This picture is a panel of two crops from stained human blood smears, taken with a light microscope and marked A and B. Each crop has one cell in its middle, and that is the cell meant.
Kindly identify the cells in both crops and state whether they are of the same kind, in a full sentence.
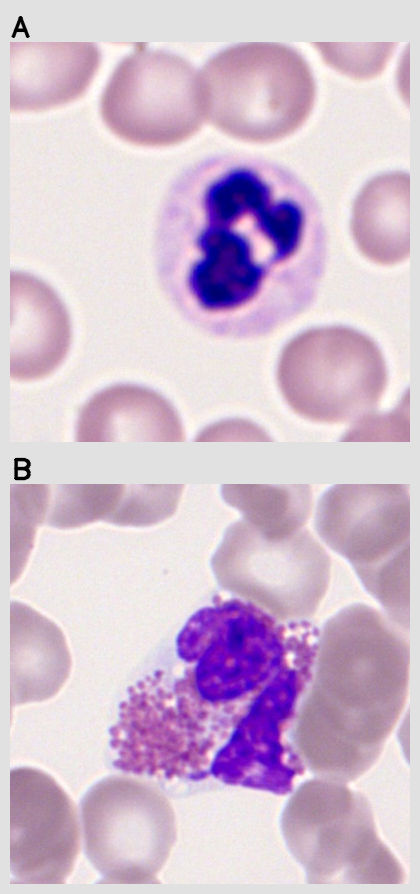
No, for crop A the cell is a neutrophil, and for crop B it is an eosinophil.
